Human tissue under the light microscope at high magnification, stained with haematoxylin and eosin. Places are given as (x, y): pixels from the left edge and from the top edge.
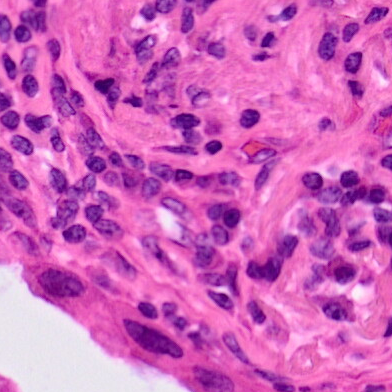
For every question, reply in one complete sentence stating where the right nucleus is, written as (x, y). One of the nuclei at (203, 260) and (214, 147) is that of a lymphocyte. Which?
The nucleus located at (214, 147) is the one held within a lymphocyte.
